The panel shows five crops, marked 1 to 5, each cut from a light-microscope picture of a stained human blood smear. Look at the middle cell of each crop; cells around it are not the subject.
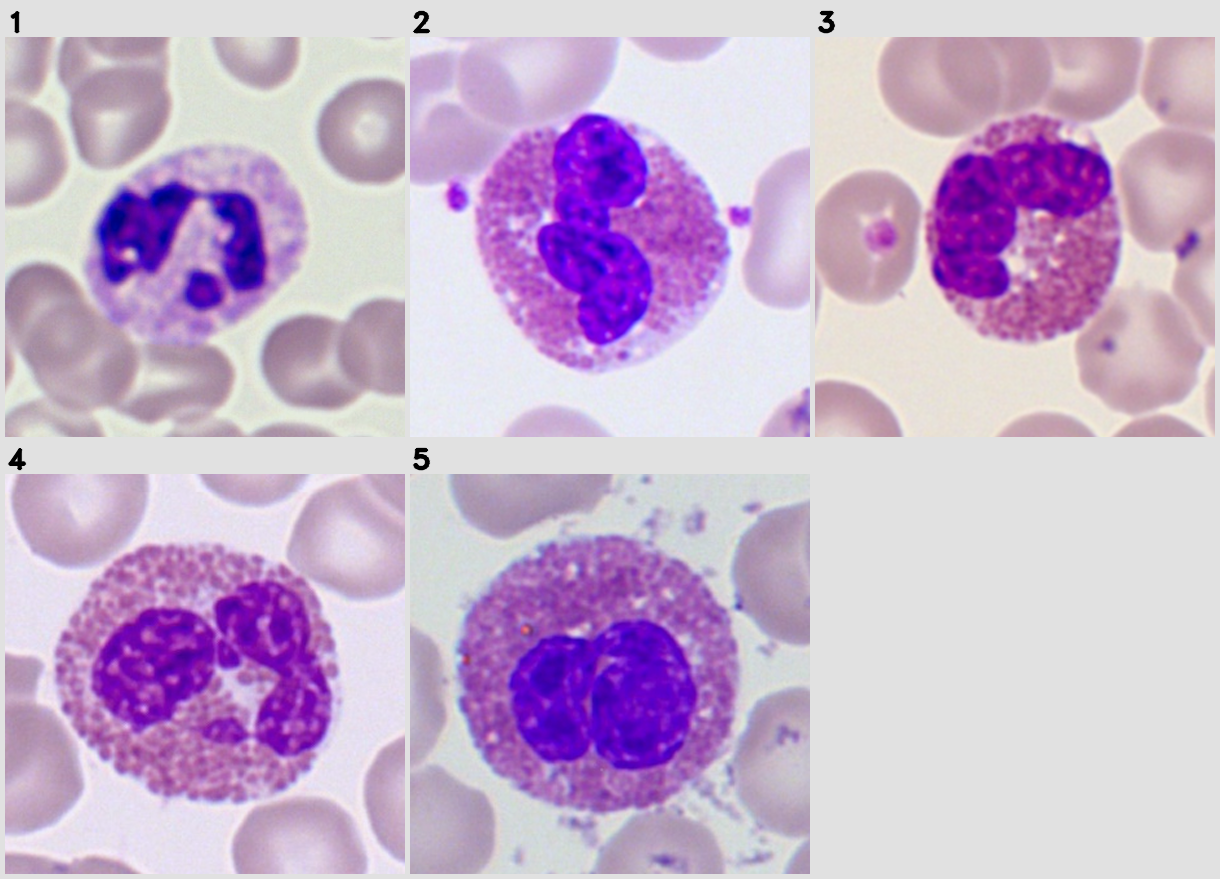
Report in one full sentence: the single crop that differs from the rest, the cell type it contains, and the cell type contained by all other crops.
Crop 1 stands apart from the rest as a segmented neutrophil, the others all being eosinophils.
